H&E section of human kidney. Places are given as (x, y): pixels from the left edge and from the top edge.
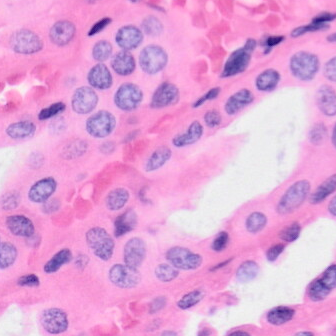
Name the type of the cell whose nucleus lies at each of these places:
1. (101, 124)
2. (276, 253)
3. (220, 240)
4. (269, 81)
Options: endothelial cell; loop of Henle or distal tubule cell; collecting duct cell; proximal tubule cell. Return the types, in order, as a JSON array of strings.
["collecting duct cell", "loop of Henle or distal tubule cell", "collecting duct cell", "collecting duct cell"]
